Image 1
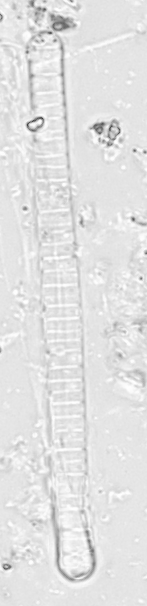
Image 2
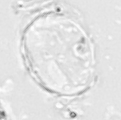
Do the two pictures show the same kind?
No: Diatoma, then Thalassiosira.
